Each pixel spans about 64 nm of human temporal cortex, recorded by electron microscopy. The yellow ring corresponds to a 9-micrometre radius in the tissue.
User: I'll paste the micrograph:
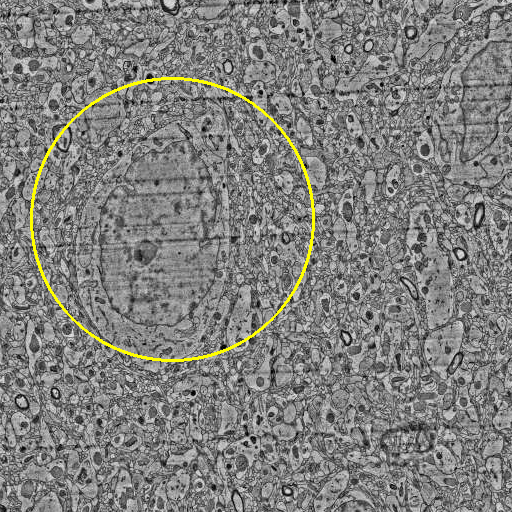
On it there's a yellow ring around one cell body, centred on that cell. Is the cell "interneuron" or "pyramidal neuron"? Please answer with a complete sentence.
The cell ringed in yellow is an interneuron.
